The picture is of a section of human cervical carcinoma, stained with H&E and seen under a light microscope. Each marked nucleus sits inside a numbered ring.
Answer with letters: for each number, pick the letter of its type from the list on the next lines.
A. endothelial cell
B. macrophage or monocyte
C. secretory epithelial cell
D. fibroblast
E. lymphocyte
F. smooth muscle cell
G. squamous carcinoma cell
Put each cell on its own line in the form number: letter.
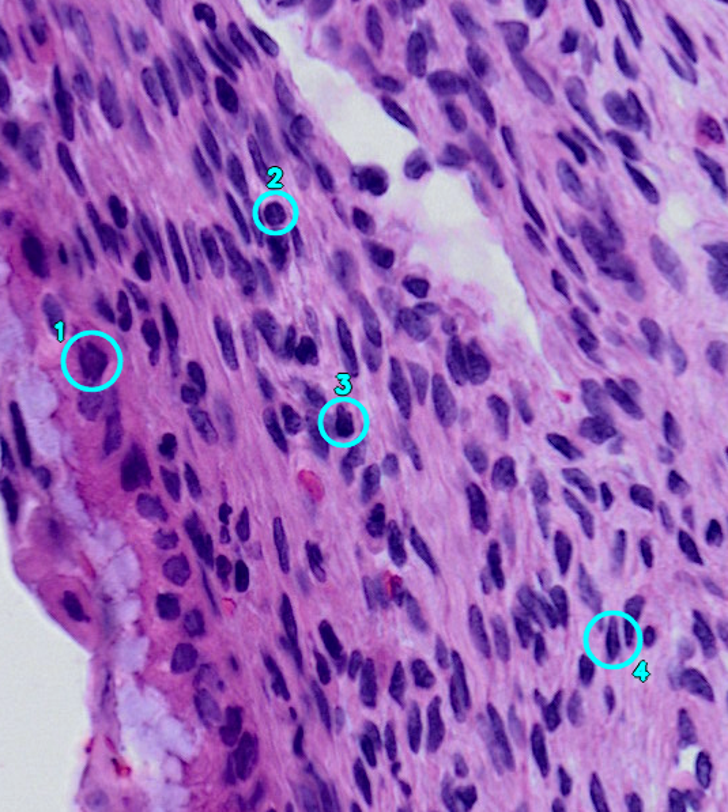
1: C
2: E
3: E
4: D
